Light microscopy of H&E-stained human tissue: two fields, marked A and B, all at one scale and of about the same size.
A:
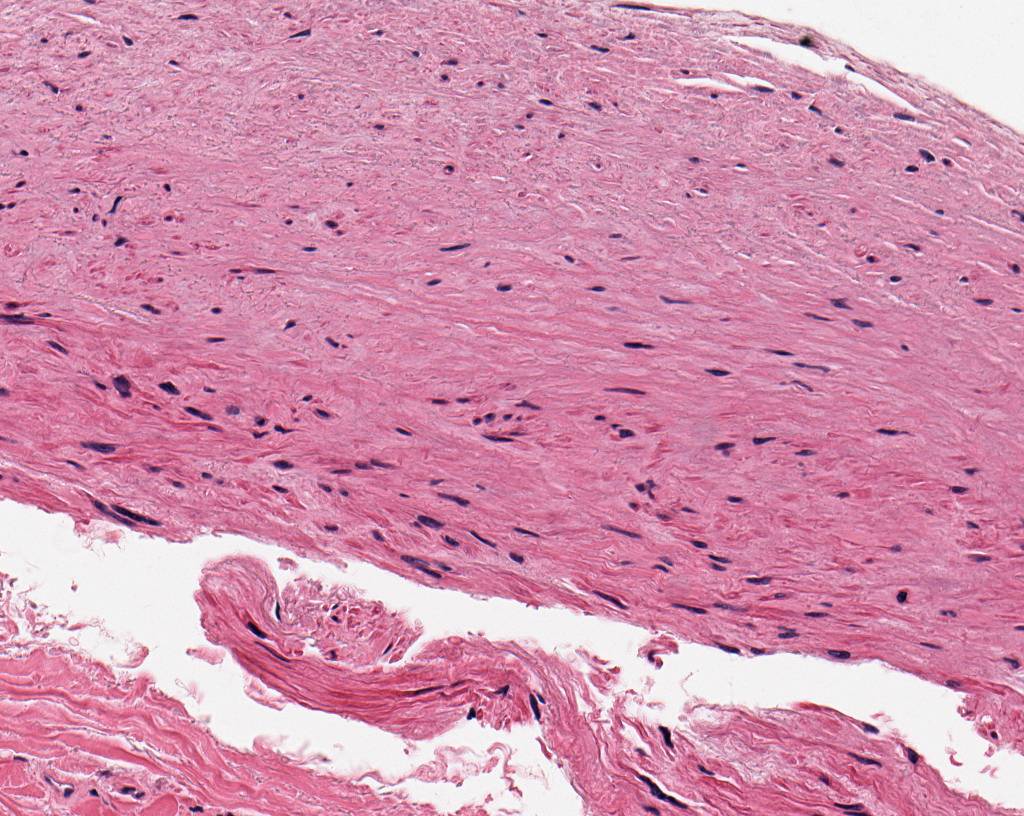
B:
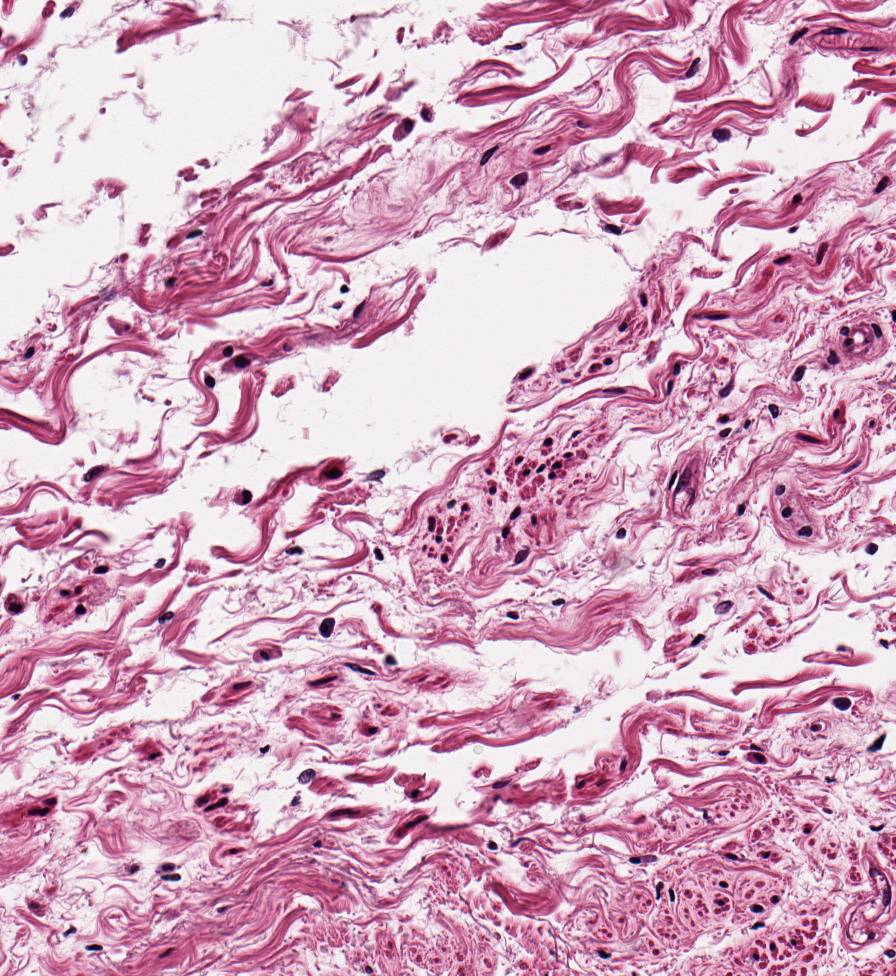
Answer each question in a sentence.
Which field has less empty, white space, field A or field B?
Less of field A is empty and white.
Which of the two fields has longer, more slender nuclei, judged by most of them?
Longer, more slender nuclei lie in field A.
